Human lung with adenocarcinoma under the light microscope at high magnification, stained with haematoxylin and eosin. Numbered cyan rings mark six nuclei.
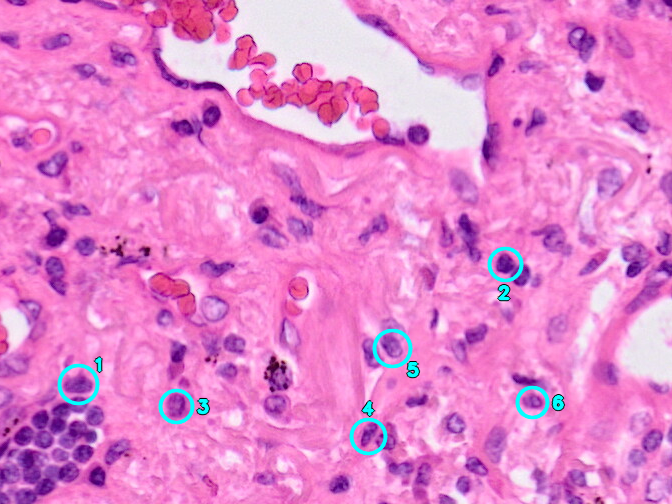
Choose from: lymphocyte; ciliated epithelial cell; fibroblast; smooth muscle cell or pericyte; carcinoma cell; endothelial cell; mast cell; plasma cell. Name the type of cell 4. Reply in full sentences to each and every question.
At number 4, the marked cell is a mast cell.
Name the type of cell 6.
Cell 6 in the field of view is a mast cell.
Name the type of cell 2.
The cell that is numbered 2 is a lymphocyte.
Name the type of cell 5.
The cell marked with the number 5 is a lymphocyte.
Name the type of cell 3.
Regarding cell 3, this one is a plasma cell.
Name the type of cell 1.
The numeral 1 marks a lymphocyte in this section.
